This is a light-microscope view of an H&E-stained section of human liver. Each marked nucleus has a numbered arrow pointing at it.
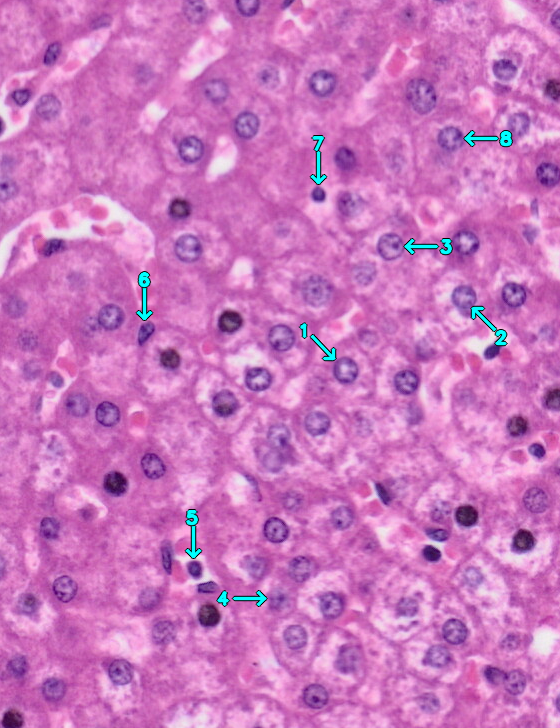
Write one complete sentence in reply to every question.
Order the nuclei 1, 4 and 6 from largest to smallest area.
Largest first, the order by area is 1, 4, 6.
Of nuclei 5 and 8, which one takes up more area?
Of the two, number 8 is bigger and takes up about 2.5 times the area of number 5.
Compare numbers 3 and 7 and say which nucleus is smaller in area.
Nucleus 7 is the smaller one; nucleus 3 covers about 3 times its area.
